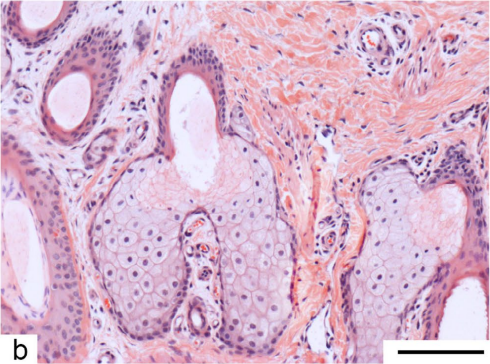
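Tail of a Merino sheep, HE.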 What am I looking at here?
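This is dermis of skin with sebaceous gland lobules lying next to hair follicles cut in cross and oblique section. The gland lobules are made of large polygonal cells with pale, finely foamy lilac cytoplasm and small round dark nuclei, surrounded by a thin rim of flattened, darker basal cells. Toward the lumen near the follicle the cells become paler and break down, releasing pale pink material into the duct. The follicles show a multilayered epithelial sheath around empty or pale pink hair spaces, set in pink fibrous connective tissue with small vessels.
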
